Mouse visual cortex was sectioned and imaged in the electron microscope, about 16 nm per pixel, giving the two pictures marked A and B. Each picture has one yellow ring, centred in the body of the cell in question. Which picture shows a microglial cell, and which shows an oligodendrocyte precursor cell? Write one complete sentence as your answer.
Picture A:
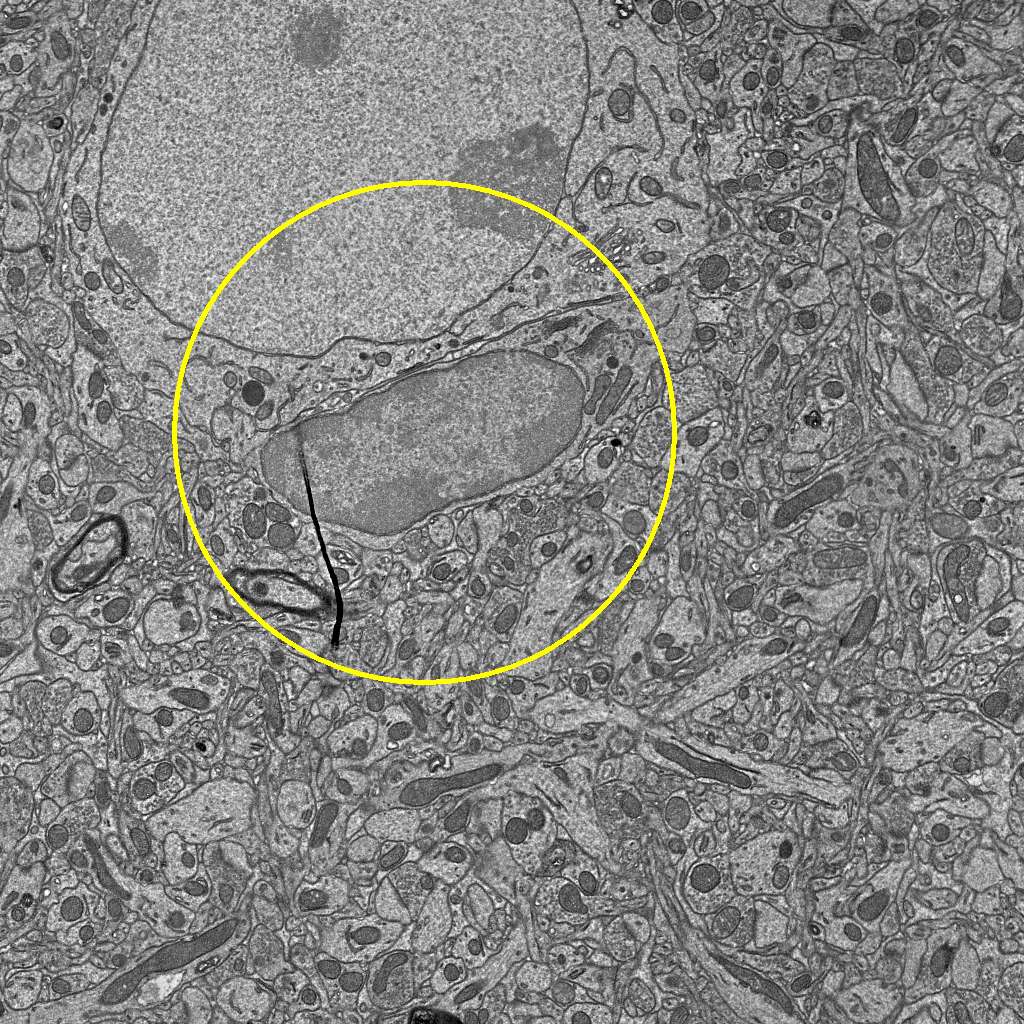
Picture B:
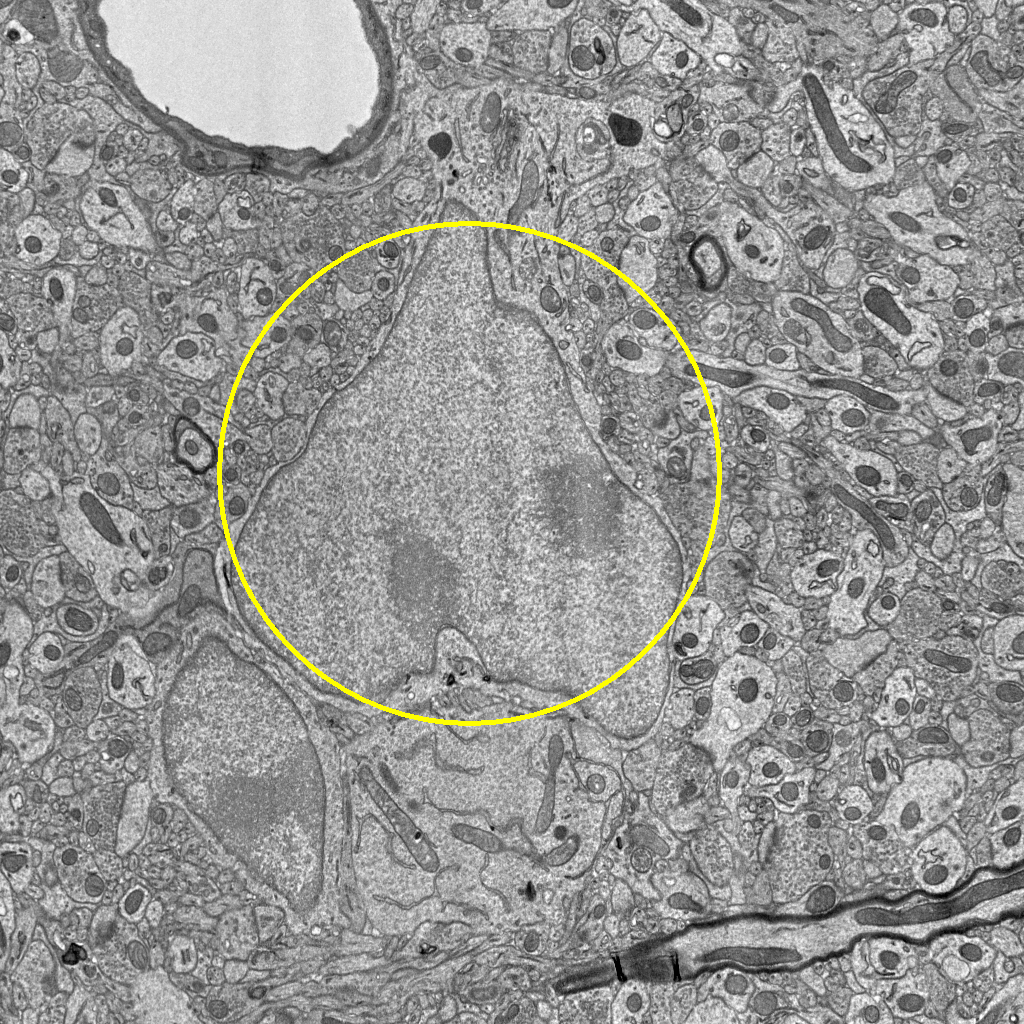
Picture A is of a microglial cell, and picture B is of an oligodendrocyte precursor cell.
